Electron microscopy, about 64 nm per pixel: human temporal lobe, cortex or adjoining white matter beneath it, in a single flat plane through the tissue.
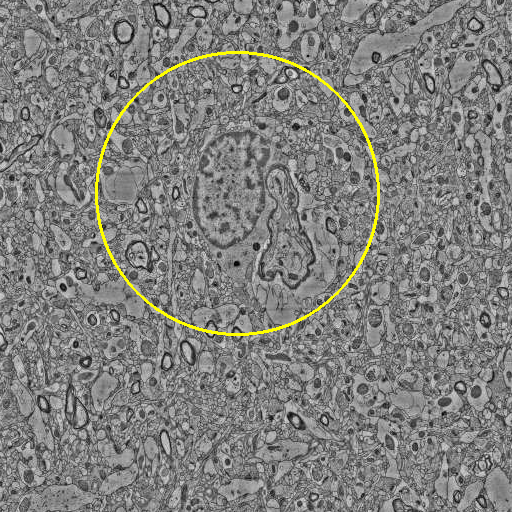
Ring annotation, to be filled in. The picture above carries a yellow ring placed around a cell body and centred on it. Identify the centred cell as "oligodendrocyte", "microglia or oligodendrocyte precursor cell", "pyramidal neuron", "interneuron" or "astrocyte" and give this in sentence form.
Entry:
The cell in the middle of the ring is an oligodendrocyte.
